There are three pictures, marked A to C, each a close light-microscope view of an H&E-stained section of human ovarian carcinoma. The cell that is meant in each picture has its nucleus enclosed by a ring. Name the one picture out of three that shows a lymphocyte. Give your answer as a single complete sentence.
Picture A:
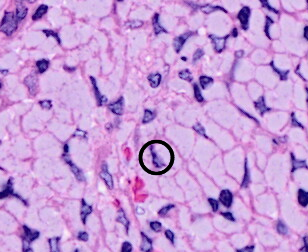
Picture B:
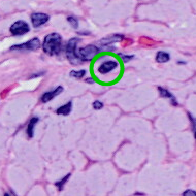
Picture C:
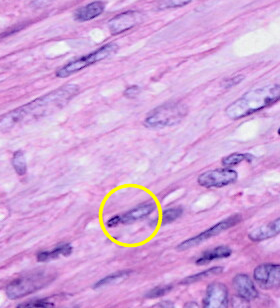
It is picture B that shows the lymphocyte.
